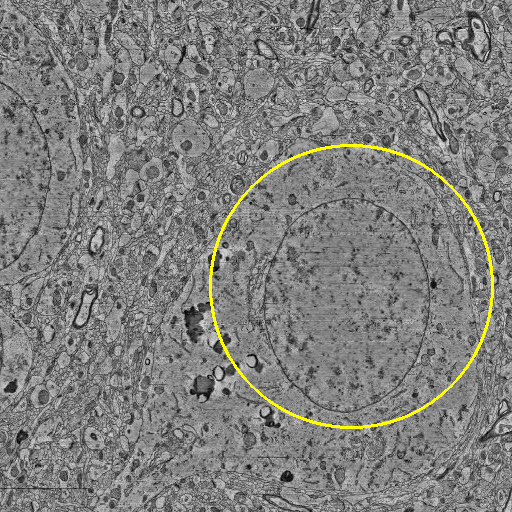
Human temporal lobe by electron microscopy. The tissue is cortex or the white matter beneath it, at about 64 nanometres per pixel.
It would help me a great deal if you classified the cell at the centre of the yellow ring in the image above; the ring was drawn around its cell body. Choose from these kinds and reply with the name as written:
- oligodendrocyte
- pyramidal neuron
pyramidal neuron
